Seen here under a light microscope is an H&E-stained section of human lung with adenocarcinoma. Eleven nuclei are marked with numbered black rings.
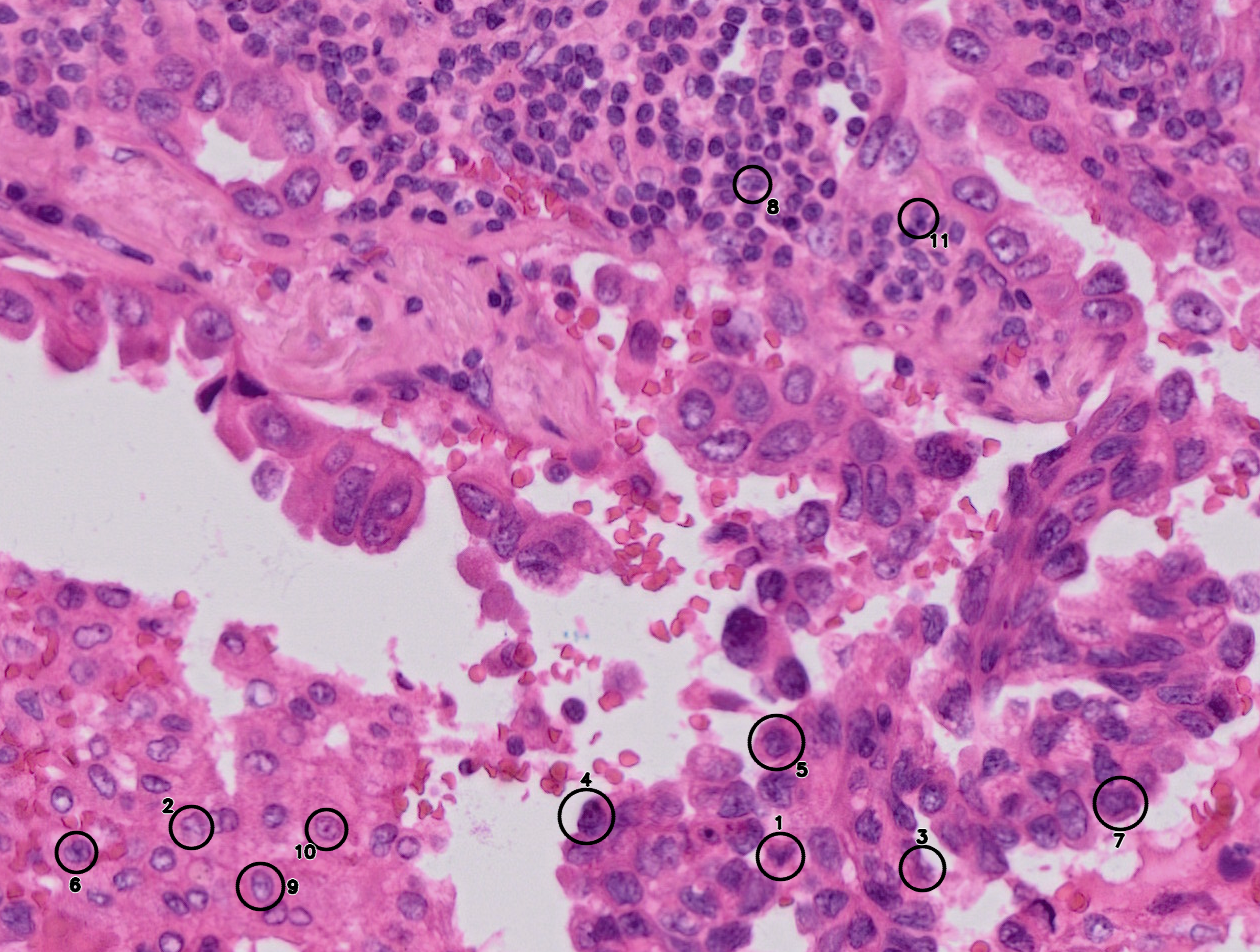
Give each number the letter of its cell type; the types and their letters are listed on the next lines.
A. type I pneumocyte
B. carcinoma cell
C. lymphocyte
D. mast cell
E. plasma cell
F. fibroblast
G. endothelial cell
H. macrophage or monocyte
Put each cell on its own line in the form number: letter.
1: B
2: H
3: B
4: B
5: B
6: H
7: B
8: C
9: H
10: H
11: C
